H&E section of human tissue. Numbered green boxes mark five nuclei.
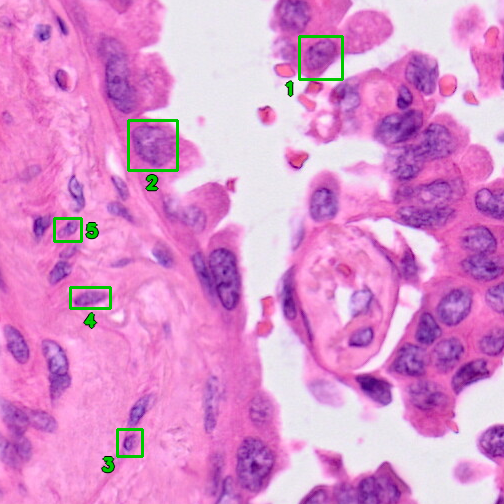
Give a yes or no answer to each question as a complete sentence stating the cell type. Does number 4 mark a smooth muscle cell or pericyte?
Yes, the cell pointed out as number 4 is a smooth muscle cell or pericyte.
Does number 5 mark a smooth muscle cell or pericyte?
Yes, the cell numbered 5 in this tissue is a smooth muscle cell or pericyte.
